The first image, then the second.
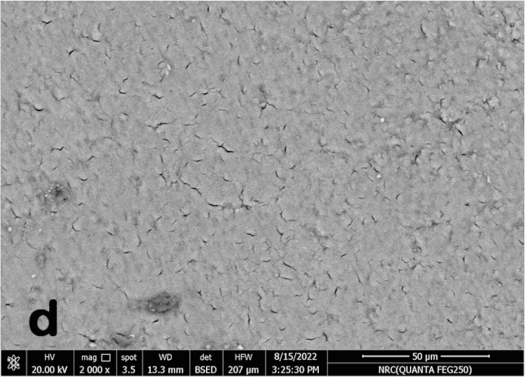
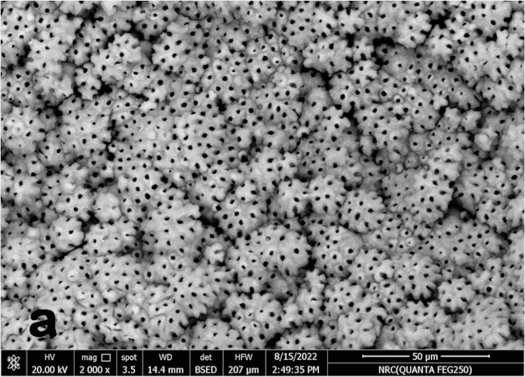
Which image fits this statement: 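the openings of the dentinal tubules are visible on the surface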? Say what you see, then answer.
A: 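Second image: numerous dark round tubule openings dotting a bumpy surface.
Conclusion: the second image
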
